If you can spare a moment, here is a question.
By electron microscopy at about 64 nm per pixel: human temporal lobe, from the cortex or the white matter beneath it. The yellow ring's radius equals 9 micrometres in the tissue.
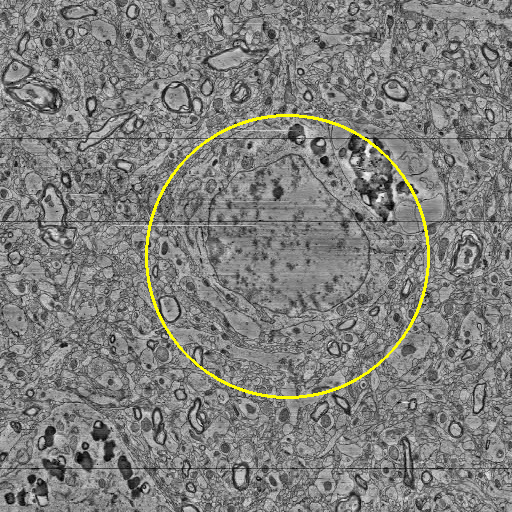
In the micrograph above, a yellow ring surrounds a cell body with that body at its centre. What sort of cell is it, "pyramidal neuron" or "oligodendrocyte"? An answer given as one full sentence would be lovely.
Centred inside the yellow ring, the cell body shown belongs to a pyramidal neuron in this micrograph.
